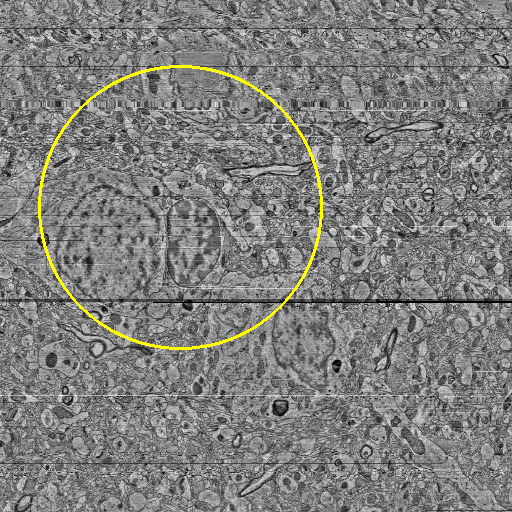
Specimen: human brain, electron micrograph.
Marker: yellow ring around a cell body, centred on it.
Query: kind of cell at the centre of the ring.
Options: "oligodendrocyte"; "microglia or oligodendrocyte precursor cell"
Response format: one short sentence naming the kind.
This cell body belongs to a microglial cell or oligodendrocyte precursor cell.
